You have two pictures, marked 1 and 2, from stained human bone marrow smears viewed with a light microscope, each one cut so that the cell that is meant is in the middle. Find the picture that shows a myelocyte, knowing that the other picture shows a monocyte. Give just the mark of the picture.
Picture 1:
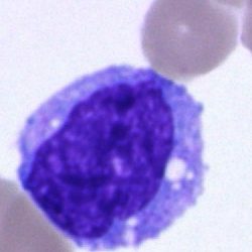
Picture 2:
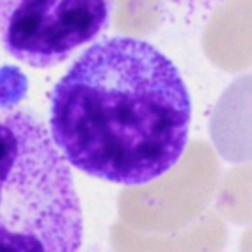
2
